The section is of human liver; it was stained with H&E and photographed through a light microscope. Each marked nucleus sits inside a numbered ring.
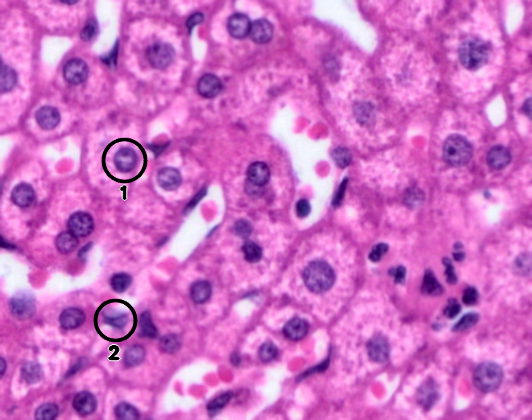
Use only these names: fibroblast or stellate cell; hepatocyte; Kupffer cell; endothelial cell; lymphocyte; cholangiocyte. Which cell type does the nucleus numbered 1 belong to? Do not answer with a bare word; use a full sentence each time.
The cell tagged with 1 in this tissue section is a hepatocyte.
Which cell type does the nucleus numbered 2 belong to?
Among the marked nuclei, number 2 belongs to an endothelial cell.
